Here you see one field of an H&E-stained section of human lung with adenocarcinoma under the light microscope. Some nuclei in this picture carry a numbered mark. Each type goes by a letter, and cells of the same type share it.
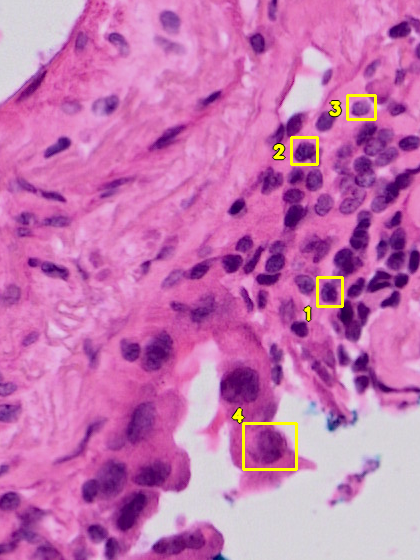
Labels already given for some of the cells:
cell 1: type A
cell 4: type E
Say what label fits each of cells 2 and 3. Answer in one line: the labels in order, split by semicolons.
type A; type A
